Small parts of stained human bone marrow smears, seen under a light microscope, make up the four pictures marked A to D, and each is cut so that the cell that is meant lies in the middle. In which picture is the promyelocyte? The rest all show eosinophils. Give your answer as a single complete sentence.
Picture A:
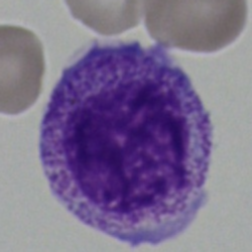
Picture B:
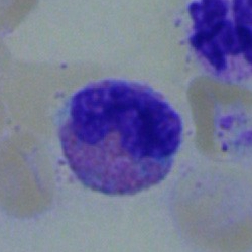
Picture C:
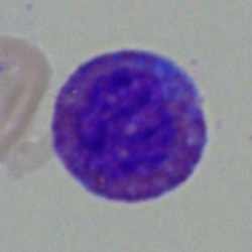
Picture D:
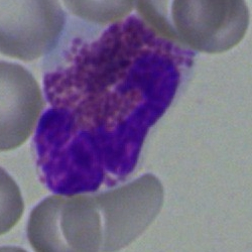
The cell in picture A is the promyelocyte.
